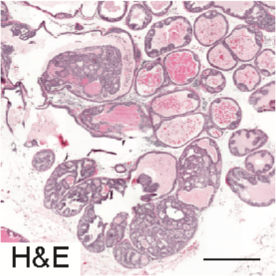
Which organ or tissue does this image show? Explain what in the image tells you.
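Many rounded glands with pink secretions in lumens. Glands separated by thin stroma.
Prostate.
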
